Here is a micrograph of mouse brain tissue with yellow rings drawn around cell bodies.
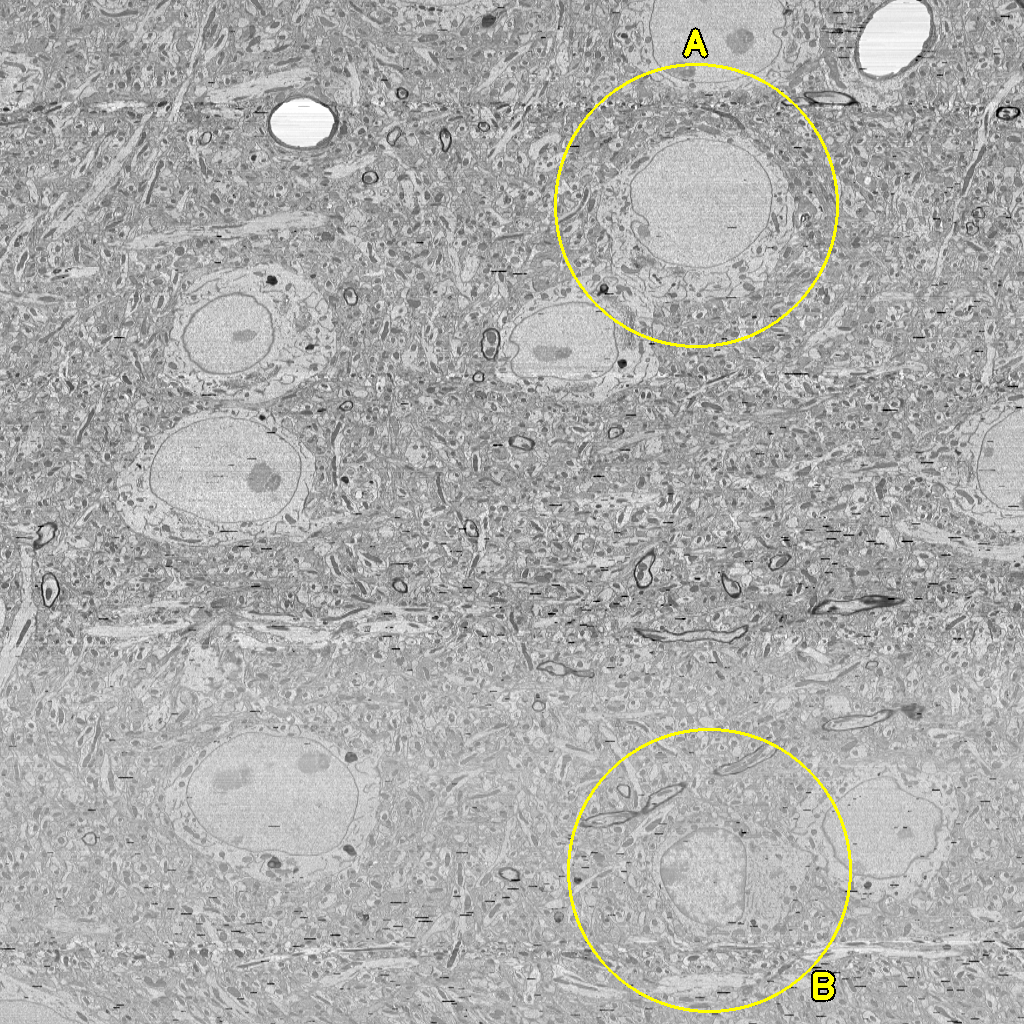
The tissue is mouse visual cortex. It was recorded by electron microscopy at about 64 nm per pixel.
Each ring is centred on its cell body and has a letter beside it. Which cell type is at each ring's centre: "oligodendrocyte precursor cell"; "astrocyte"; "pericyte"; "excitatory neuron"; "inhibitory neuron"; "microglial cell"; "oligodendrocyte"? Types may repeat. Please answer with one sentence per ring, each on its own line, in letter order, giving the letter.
Ring A shows an excitatory neuron at its centre.
Ring B shows an oligodendrocyte at its centre.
